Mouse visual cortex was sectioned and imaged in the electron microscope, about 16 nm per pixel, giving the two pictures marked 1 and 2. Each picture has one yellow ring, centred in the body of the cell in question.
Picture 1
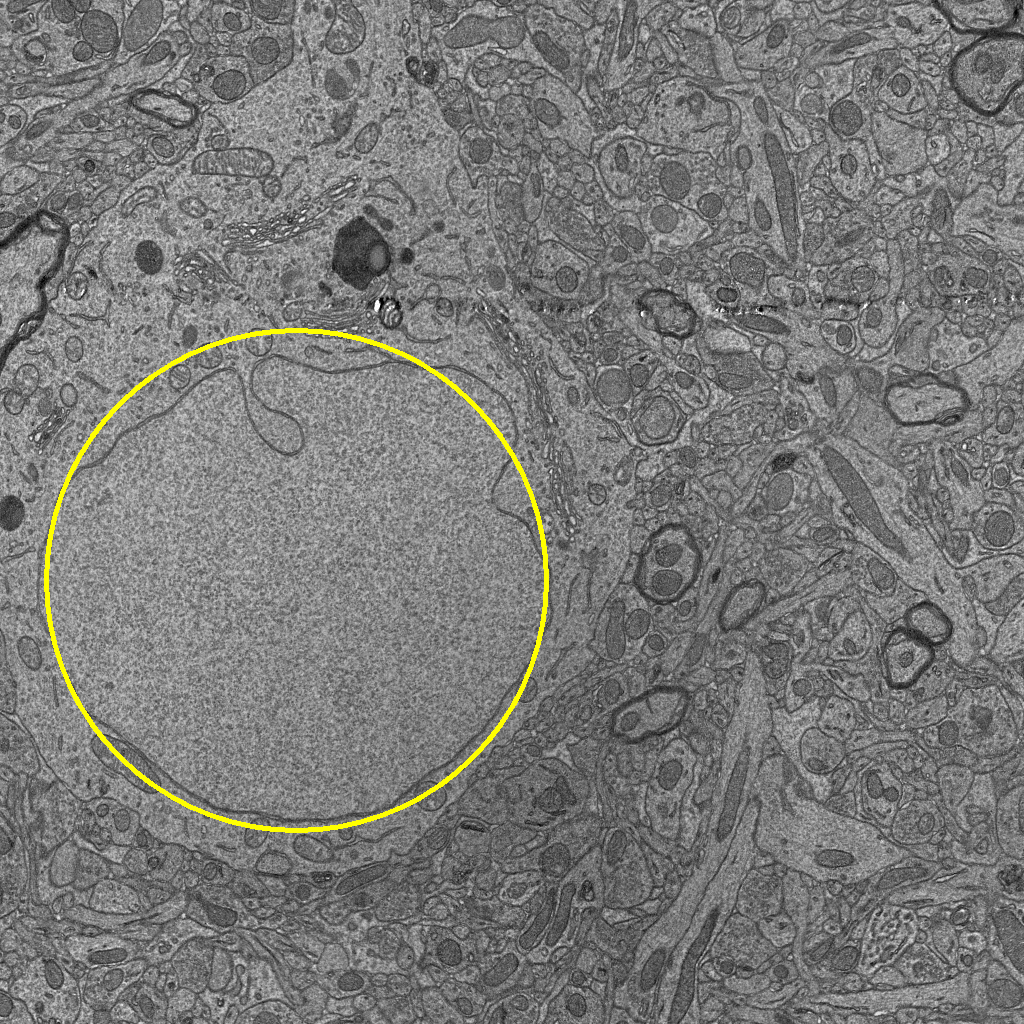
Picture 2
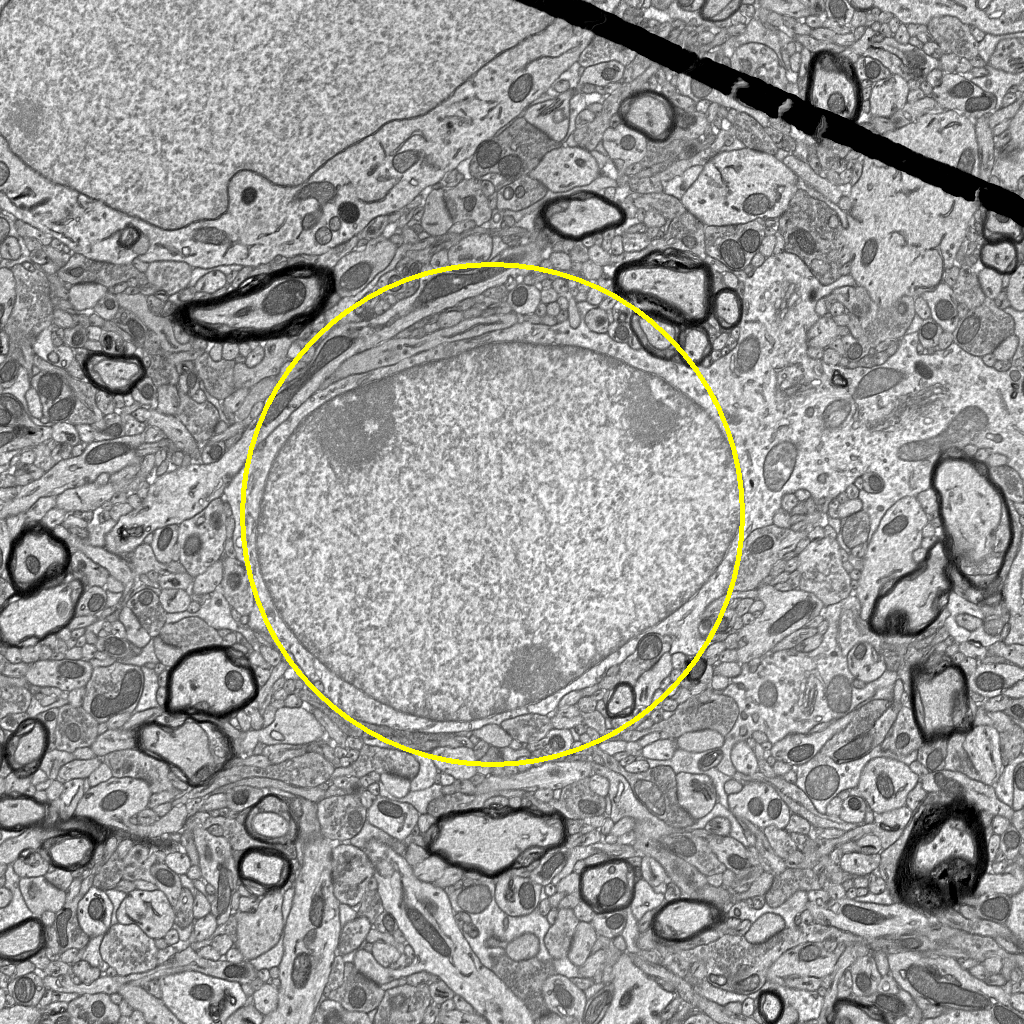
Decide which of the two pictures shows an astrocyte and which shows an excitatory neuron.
Picture 1 is of an excitatory neuron, and picture 2 is of an astrocyte.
